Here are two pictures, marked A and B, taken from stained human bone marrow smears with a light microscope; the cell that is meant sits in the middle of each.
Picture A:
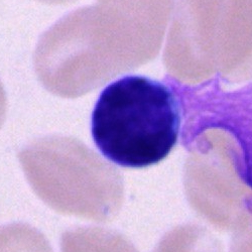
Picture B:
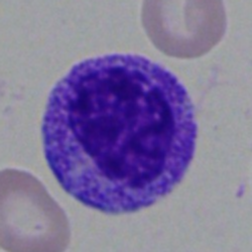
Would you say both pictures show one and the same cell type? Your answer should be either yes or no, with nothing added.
no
